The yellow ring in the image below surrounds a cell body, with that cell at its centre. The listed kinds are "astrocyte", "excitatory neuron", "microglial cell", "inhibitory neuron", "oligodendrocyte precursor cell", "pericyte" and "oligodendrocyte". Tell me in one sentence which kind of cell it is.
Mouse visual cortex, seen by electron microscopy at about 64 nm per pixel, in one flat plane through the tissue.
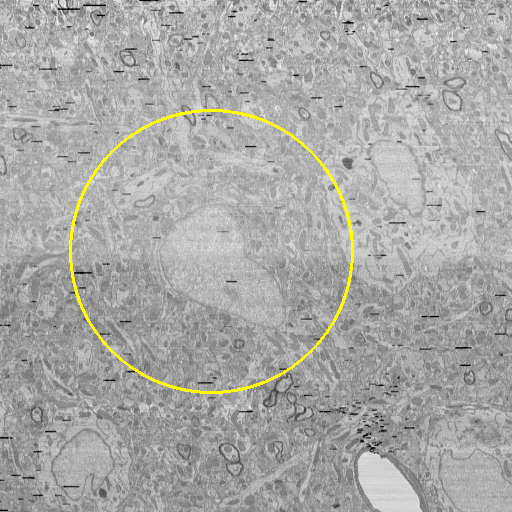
The centre of the ring holds an astrocyte.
